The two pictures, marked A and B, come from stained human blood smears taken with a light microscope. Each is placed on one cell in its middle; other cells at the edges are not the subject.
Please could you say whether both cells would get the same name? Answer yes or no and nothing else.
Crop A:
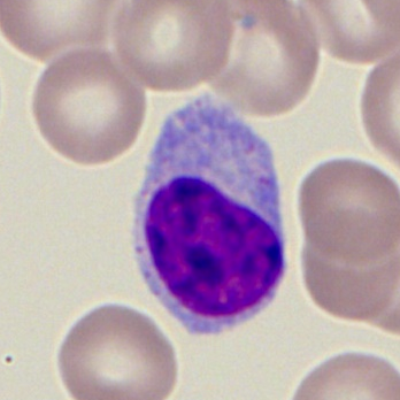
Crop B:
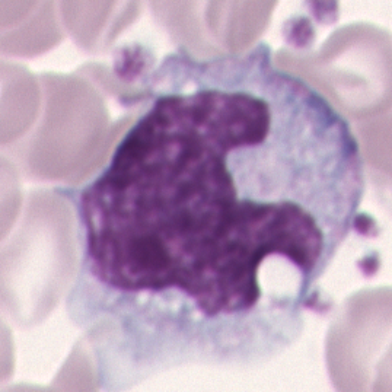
no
